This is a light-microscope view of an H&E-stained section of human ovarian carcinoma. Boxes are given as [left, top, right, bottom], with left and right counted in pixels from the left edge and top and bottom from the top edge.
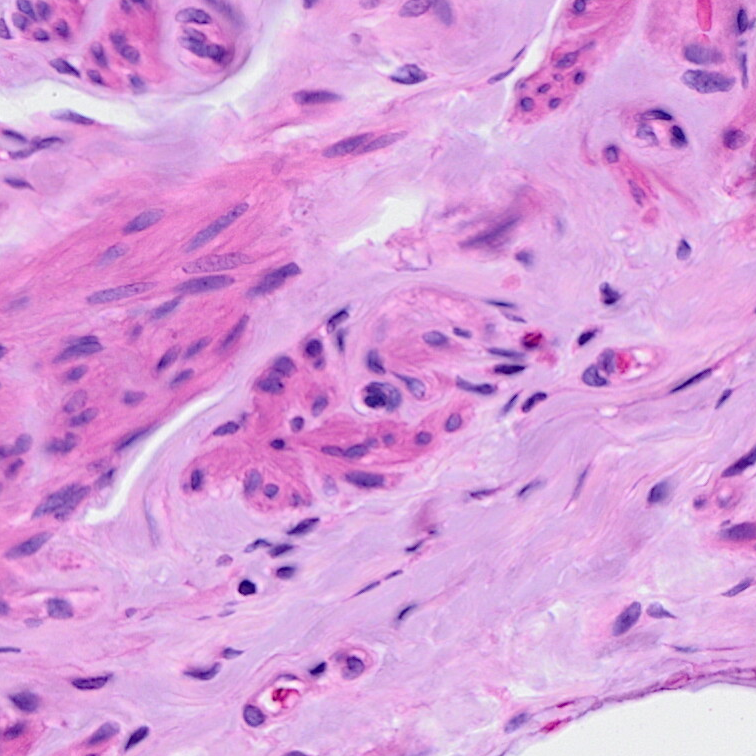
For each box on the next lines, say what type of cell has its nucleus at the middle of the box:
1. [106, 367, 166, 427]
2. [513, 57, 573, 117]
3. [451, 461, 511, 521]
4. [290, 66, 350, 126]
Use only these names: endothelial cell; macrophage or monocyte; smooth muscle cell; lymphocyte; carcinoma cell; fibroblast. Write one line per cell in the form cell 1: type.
cell 1: smooth muscle cell
cell 2: smooth muscle cell
cell 3: fibroblast
cell 4: smooth muscle cell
